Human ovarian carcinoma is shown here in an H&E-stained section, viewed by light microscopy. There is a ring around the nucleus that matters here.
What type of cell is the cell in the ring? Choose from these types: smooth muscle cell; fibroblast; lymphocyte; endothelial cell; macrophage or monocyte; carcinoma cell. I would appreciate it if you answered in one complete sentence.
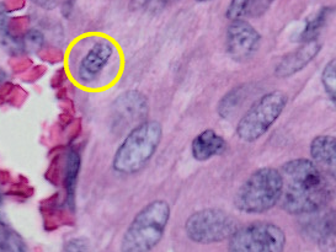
It is a macrophage or monocyte that the cell in the ring represents.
